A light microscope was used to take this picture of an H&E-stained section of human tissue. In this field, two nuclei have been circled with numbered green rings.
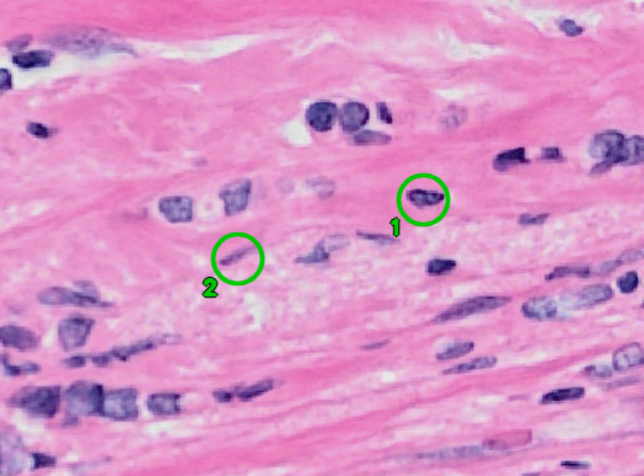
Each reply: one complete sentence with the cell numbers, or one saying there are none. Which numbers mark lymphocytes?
Cell 1 is the only numbered cell that is a lymphocyte.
